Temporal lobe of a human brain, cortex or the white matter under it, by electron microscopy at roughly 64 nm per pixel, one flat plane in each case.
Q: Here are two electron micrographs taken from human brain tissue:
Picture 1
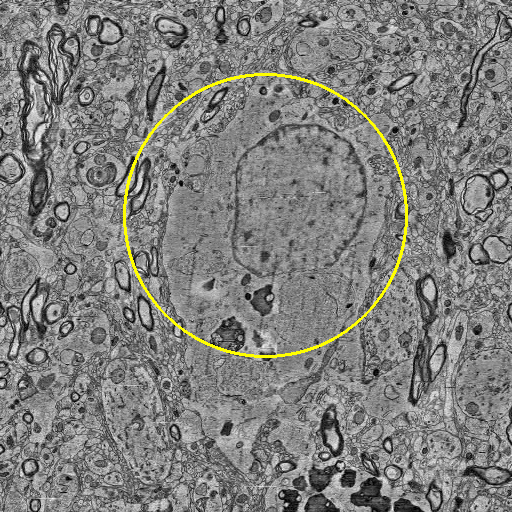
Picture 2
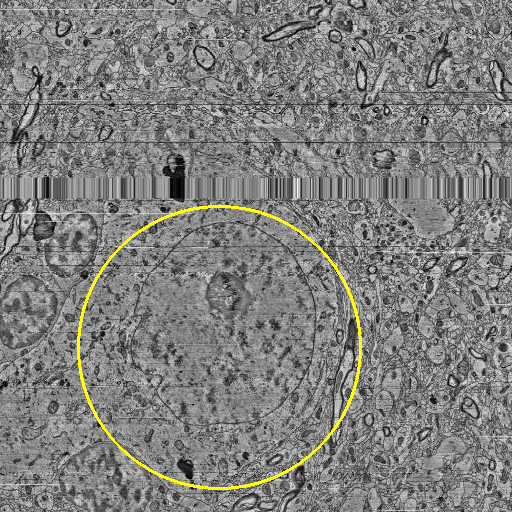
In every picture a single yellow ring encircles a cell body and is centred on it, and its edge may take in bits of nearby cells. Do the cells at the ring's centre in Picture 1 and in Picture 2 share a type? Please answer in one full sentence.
No, the cells at the ring's centre in Picture 1 and Picture 2 are of two types.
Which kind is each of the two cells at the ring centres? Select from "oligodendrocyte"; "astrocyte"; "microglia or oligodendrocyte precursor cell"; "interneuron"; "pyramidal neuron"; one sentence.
The cell at the centre of the ring is an astrocyte in the first picture and a pyramidal neuron in the second.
